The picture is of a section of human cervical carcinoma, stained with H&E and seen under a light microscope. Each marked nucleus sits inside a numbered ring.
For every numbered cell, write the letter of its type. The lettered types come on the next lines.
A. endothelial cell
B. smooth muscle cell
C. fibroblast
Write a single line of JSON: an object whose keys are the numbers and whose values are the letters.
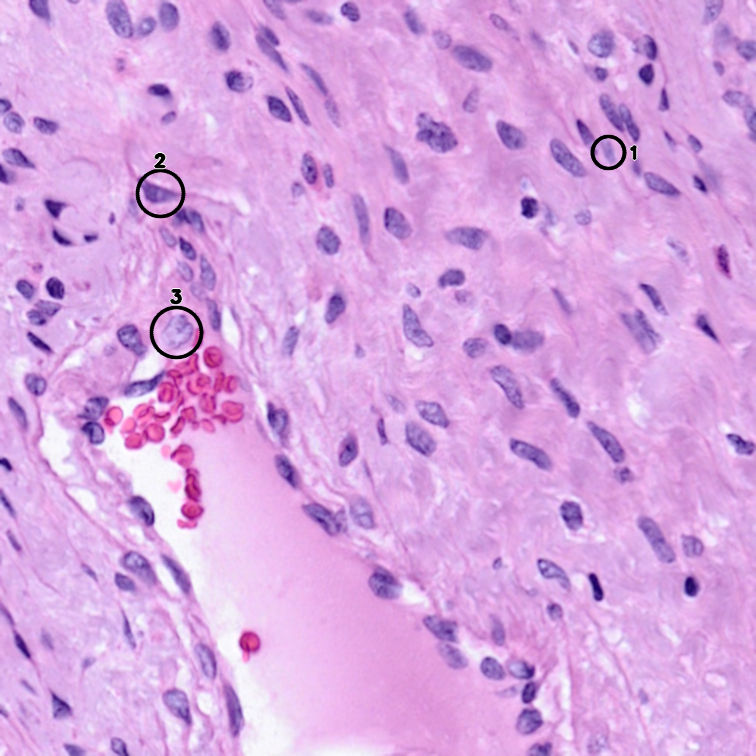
{"1": "C", "2": "B", "3": "A"}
